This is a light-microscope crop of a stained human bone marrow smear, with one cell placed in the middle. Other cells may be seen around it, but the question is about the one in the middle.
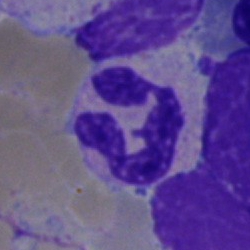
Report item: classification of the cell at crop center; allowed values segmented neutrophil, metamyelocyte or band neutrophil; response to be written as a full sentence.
The cell centered in this field of view is a segmented neutrophil.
